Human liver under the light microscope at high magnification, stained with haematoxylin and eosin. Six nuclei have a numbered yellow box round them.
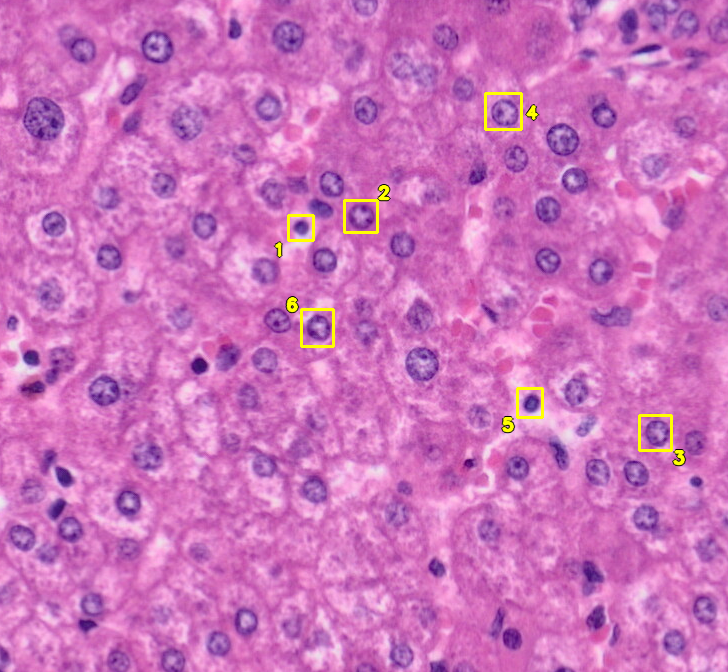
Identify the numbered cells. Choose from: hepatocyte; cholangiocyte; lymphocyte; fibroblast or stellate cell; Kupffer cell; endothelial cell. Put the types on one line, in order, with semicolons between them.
lymphocyte; hepatocyte; hepatocyte; hepatocyte; lymphocyte; hepatocyte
